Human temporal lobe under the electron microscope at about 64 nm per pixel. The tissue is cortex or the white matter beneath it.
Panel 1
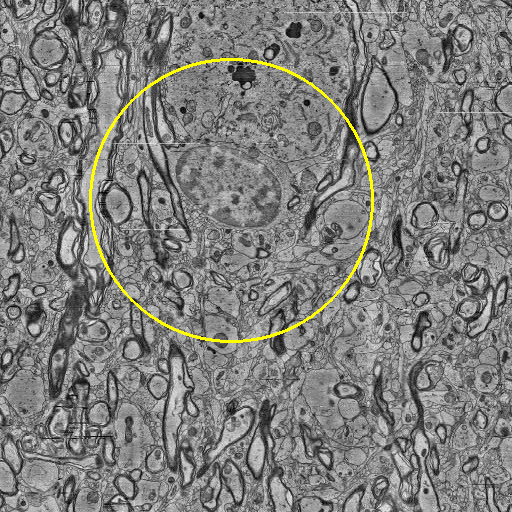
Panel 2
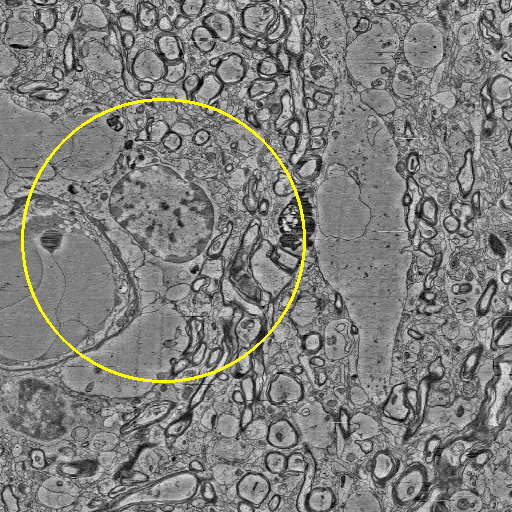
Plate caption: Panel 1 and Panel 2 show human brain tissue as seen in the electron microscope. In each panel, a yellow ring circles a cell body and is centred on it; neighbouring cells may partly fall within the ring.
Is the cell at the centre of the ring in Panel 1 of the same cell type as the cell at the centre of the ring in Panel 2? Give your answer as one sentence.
No, the two cells are of two types.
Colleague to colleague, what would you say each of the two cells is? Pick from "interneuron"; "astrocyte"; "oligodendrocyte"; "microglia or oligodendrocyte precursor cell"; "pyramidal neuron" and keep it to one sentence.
The cell in the first picture is an oligodendrocyte; the second picture's cell is a microglial cell or oligodendrocyte precursor cell.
